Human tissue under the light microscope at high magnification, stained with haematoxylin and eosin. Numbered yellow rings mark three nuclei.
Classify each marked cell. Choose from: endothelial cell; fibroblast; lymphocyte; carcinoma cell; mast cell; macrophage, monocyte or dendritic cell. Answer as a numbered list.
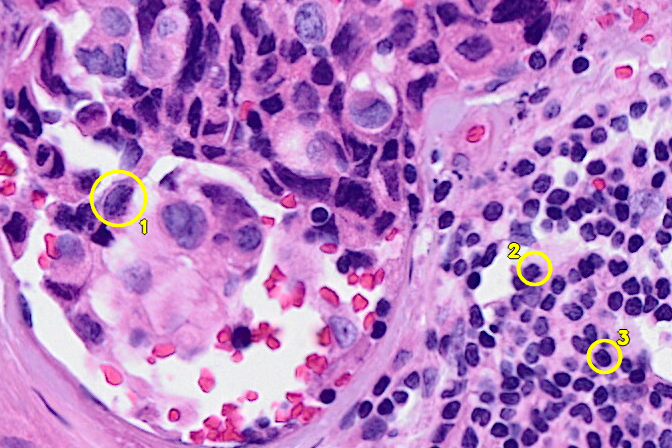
1. carcinoma cell
2. lymphocyte
3. lymphocyte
